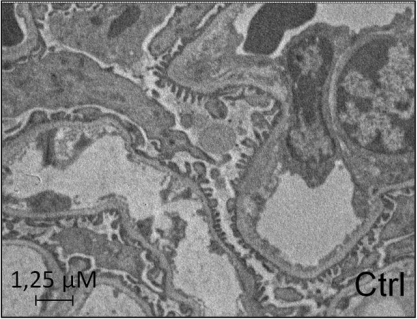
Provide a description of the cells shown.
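Transmission electron micrograph of a glomerulus showing several capillary loops with pale, finely granular lumens. Each capillary wall carries a thin, continuous dense basement membrane, on whose outer side rows of small, regularly spaced podocyte foot processes sit. Cells with large nuclei containing clumped chromatin lie between the loops.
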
